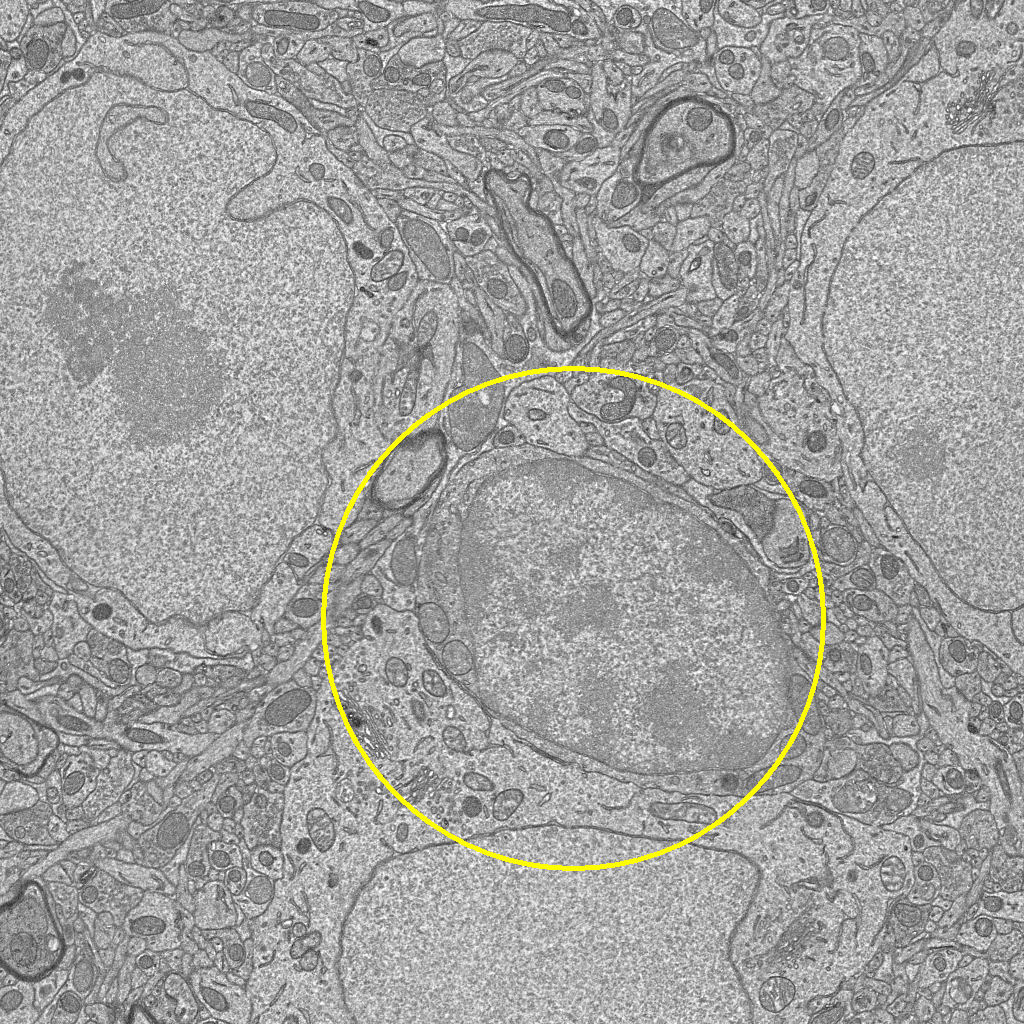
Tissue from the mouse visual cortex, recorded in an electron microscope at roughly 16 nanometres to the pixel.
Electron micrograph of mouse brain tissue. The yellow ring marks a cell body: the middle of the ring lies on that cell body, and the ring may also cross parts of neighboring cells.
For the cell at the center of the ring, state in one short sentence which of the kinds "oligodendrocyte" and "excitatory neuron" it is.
This ring's center lies on an oligodendrocyte.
